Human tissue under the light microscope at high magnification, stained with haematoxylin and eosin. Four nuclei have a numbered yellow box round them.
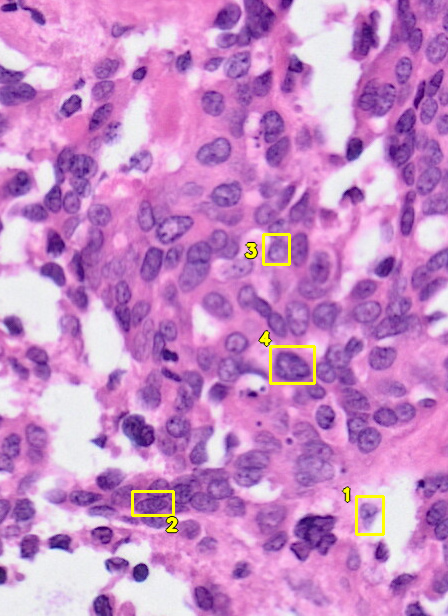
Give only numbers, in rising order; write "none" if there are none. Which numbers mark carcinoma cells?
2, 3, 4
